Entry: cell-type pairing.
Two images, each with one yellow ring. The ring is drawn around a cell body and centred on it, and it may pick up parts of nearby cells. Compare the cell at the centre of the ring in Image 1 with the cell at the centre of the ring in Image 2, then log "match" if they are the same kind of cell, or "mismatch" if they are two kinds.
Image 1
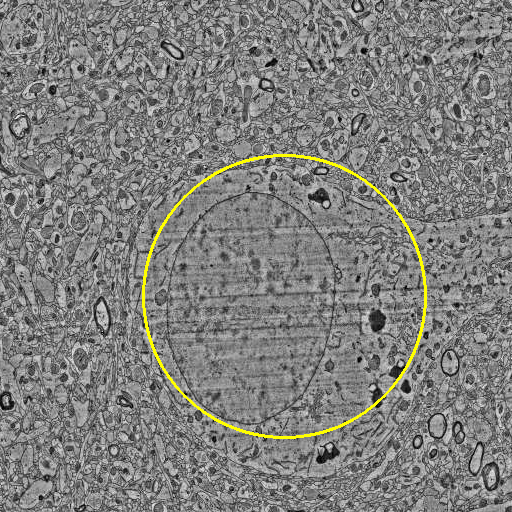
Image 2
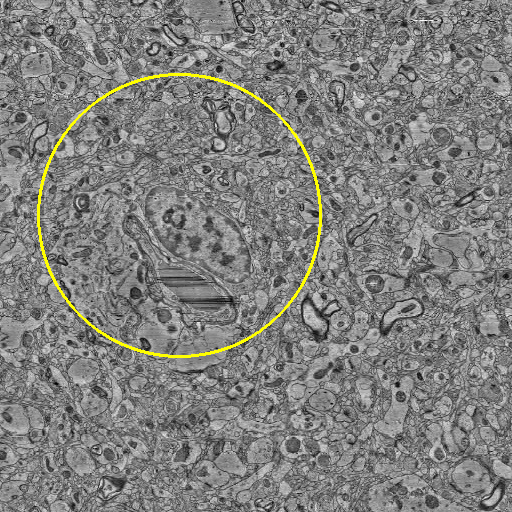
mismatch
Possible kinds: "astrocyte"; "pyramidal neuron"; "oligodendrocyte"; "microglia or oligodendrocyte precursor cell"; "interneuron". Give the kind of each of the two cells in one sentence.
The cell in the second picture is an oligodendrocyte, and that in the first is a pyramidal neuron.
